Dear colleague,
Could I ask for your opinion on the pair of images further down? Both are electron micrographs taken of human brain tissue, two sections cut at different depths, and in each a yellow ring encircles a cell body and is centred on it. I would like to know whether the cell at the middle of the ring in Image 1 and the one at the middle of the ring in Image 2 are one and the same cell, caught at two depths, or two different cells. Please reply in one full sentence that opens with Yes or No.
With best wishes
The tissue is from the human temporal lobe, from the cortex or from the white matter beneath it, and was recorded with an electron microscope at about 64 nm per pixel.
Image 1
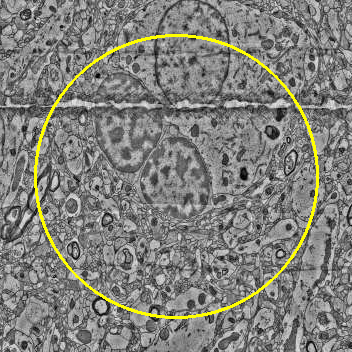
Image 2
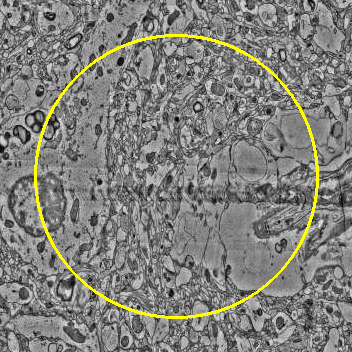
No, the circled cells number two, not one.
